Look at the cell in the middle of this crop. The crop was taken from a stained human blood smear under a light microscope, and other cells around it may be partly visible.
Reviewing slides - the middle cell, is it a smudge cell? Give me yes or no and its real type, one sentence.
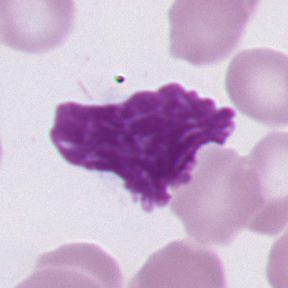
Yes, the cell in the exact middle is a smudge cell.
